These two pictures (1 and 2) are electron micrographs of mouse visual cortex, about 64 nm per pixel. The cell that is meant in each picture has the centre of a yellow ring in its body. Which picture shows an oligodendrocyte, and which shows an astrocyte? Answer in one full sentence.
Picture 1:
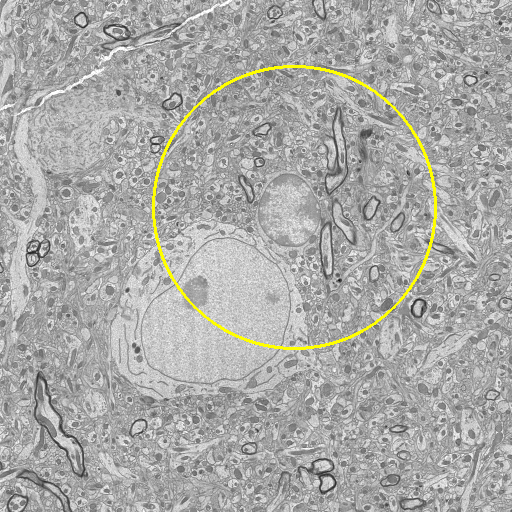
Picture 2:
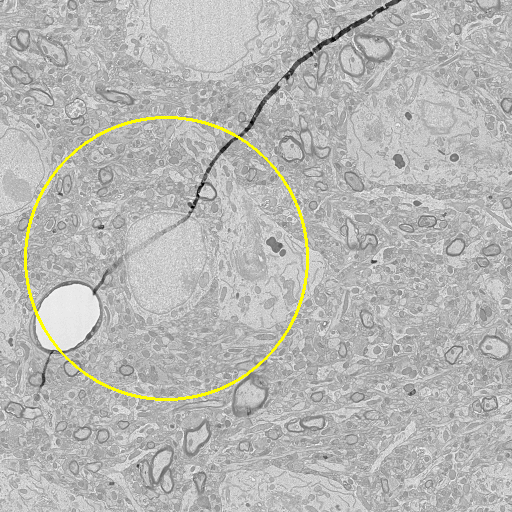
It is picture 1 that shows an oligodendrocyte, and picture 2 that shows an astrocyte.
